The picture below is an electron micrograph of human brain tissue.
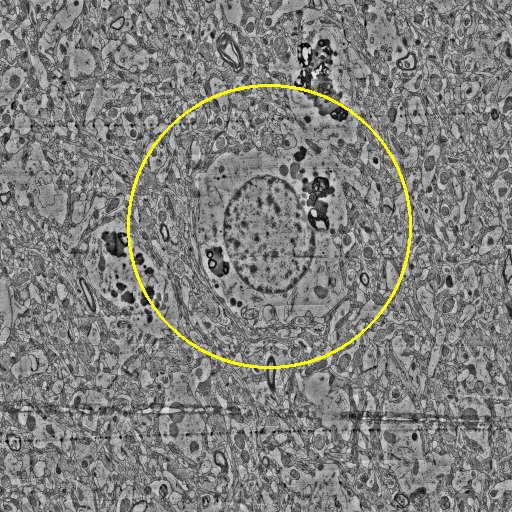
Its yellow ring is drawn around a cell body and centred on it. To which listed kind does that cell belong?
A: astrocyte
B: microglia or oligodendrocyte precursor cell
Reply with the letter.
A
